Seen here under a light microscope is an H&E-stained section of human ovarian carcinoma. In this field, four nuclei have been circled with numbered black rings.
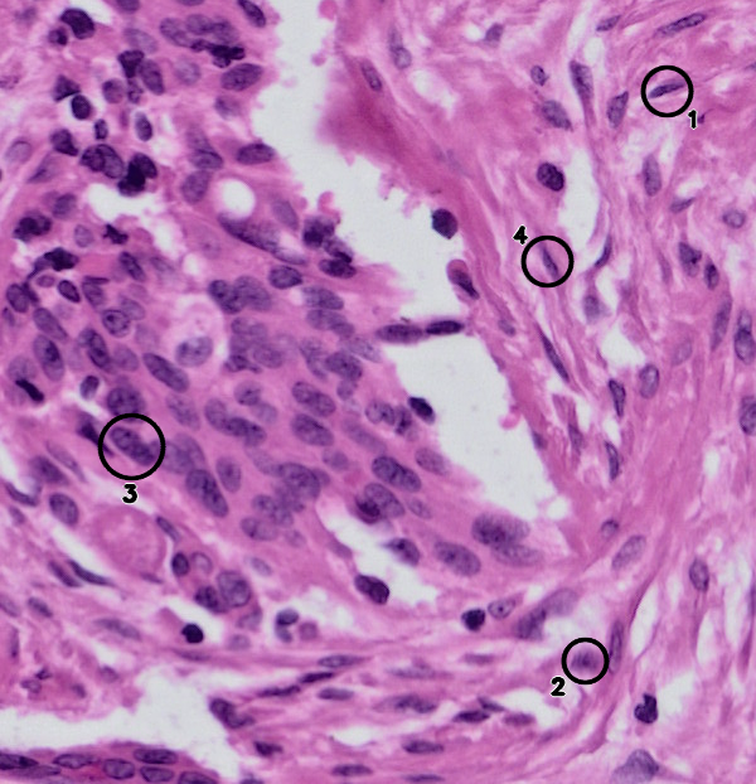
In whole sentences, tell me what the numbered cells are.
Cells 1, 2 and 4 are fibroblasts. Cell 3 is a carcinoma cell.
